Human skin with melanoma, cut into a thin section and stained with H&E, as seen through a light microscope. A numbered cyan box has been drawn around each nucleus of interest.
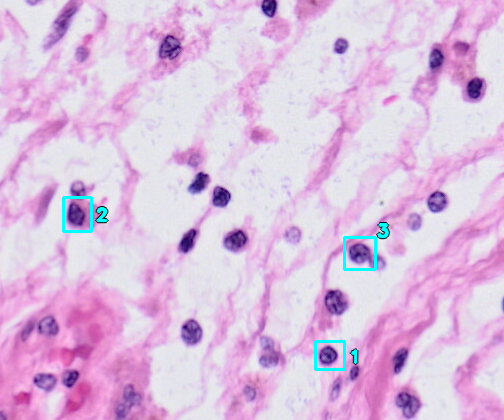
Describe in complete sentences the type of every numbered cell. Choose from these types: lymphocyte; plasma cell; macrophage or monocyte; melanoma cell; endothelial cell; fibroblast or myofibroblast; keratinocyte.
Cells 1 and 3 are lymphocytes. Cell 2 is a macrophage or monocyte.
